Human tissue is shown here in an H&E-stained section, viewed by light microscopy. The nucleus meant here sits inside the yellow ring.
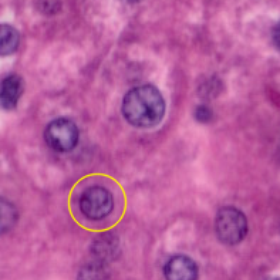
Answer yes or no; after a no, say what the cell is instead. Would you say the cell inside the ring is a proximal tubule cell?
No, it is a hepatocyte.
